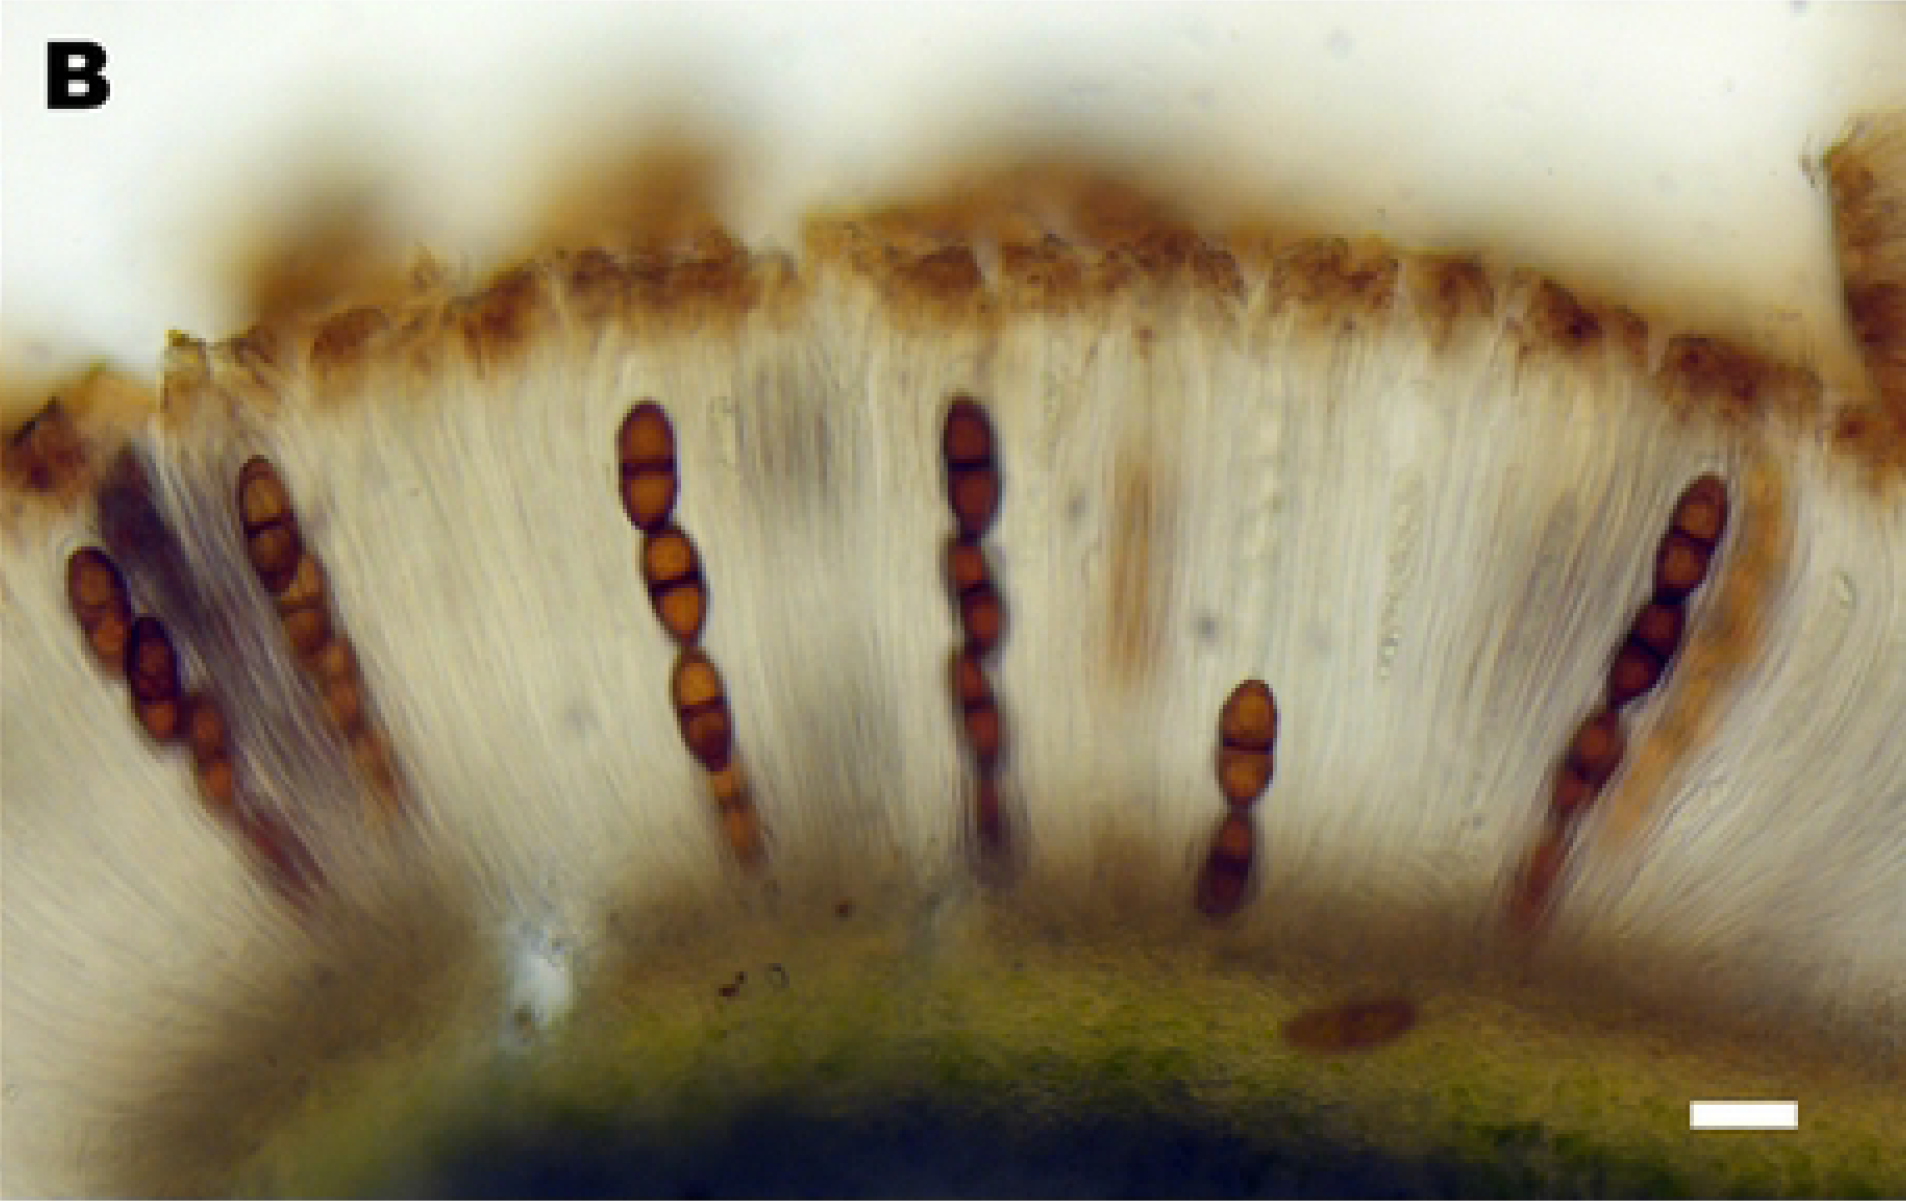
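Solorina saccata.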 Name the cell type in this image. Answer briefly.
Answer: 4-spored asci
